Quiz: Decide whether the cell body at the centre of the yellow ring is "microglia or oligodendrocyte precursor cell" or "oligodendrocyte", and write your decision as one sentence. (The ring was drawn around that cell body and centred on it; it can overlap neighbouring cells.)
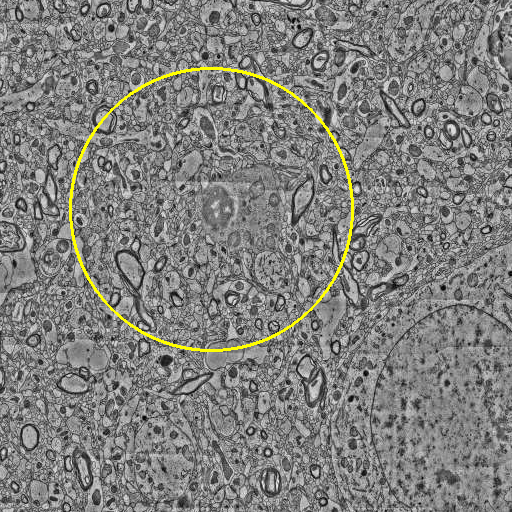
The cell the ring is centred on is an oligodendrocyte.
